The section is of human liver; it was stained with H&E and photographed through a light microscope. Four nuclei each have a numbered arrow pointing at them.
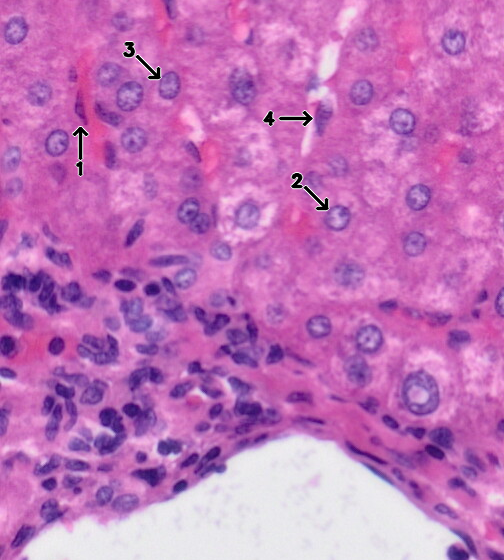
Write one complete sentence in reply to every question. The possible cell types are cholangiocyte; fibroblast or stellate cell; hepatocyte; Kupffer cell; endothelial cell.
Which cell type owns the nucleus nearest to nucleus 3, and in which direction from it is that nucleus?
The closest nucleus belongs to a hepatocyte and sits to the left of nucleus 3.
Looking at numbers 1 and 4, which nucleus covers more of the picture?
Nucleus 4 is the larger one, covering about 1.5 times the area of nucleus 1.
